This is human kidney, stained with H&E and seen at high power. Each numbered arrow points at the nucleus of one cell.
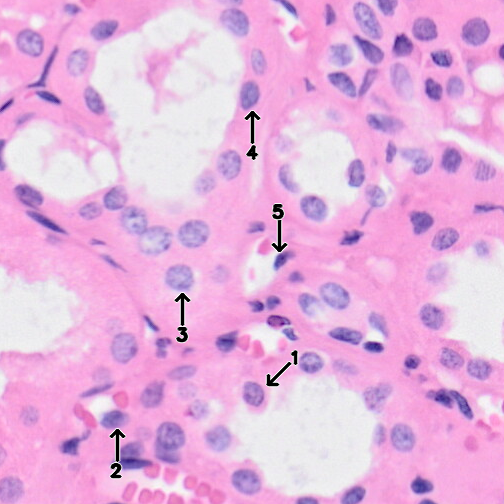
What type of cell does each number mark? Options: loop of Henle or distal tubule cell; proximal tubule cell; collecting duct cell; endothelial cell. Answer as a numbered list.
1. loop of Henle or distal tubule cell
2. endothelial cell
3. loop of Henle or distal tubule cell
4. loop of Henle or distal tubule cell
5. endothelial cell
